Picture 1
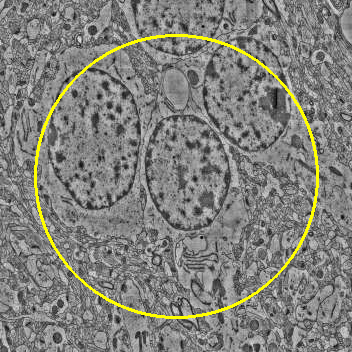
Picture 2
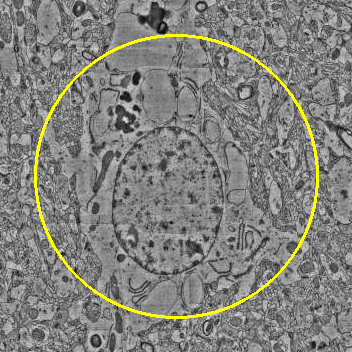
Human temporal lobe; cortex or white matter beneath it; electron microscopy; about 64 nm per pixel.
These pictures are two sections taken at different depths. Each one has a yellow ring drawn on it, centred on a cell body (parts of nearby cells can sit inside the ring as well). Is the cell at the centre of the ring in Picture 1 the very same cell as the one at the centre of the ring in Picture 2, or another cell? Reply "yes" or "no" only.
no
